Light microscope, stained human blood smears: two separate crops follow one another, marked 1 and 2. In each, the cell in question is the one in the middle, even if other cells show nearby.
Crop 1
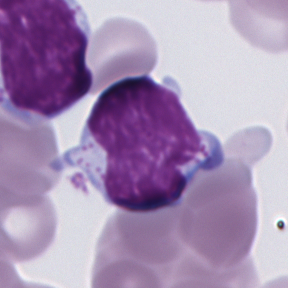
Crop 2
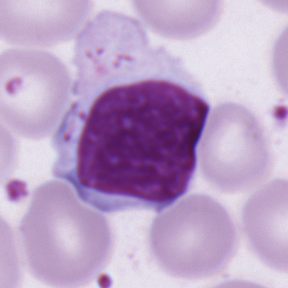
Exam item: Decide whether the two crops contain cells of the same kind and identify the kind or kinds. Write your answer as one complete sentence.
Yes, the central cells, in both crops, are large granular lymphocytes.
